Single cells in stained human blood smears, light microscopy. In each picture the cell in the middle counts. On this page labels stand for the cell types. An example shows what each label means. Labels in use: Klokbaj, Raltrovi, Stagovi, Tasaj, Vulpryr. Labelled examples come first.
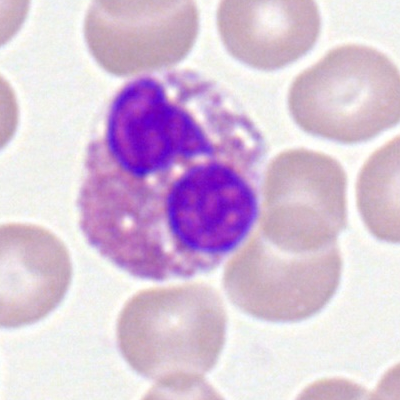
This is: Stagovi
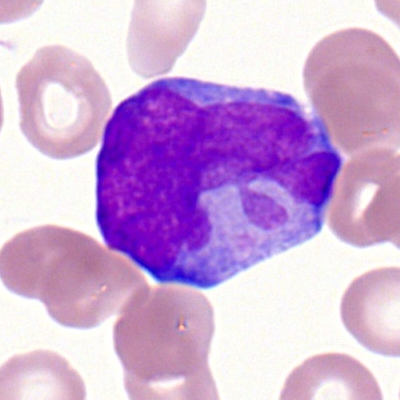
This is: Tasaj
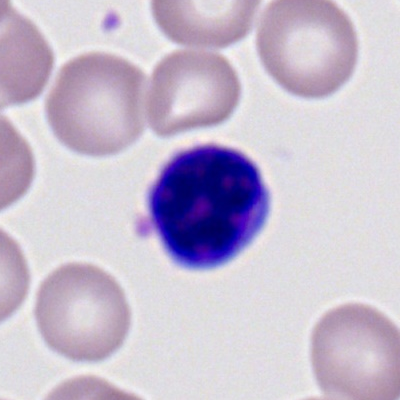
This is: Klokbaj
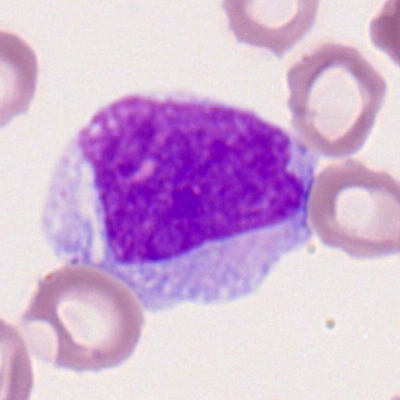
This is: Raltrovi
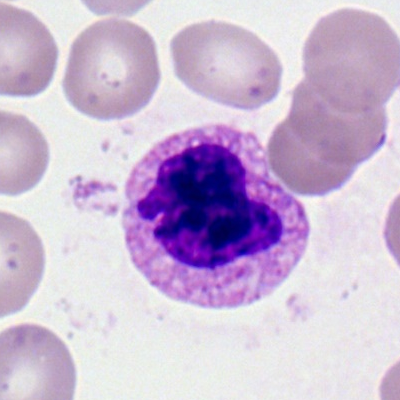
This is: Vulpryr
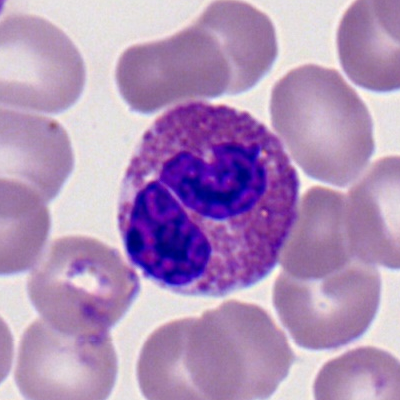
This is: Stagovi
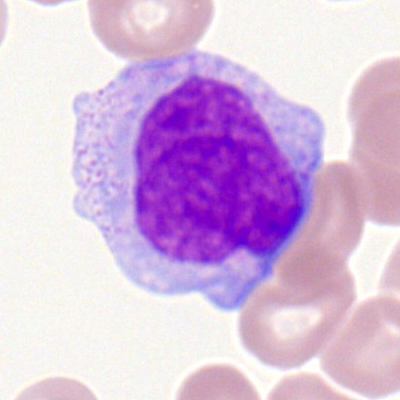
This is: Raltrovi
